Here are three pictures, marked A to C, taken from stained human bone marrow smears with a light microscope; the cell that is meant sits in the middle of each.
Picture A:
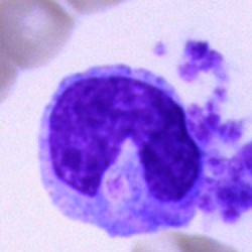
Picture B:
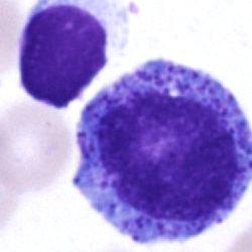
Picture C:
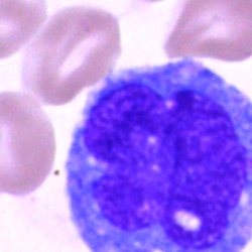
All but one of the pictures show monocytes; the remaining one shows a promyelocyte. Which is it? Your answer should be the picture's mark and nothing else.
B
